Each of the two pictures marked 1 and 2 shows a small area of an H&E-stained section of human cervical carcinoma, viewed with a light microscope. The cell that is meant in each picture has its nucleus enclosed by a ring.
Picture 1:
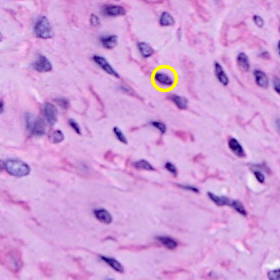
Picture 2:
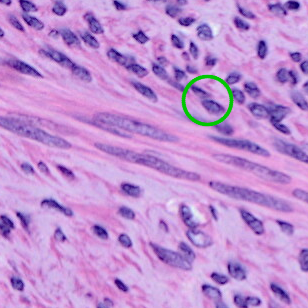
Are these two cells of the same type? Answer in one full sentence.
Yes, both are smooth muscle cells.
